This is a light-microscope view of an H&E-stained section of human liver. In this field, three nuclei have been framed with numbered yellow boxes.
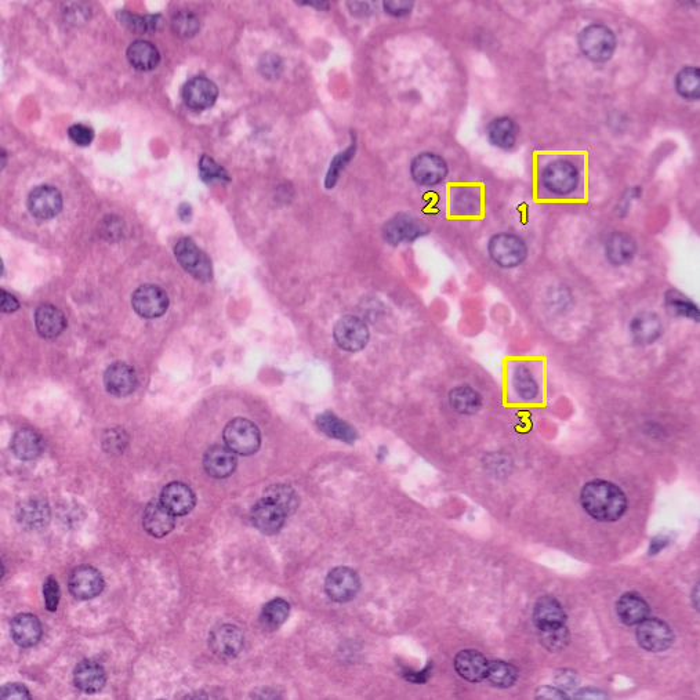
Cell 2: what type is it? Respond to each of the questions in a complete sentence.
Among the marked nuclei, number 2 belongs to a hepatocyte.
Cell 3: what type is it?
Here, the cell given the number 3 is a Kupffer cell.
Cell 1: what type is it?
The cell referenced by the number 1 is a hepatocyte in this field.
